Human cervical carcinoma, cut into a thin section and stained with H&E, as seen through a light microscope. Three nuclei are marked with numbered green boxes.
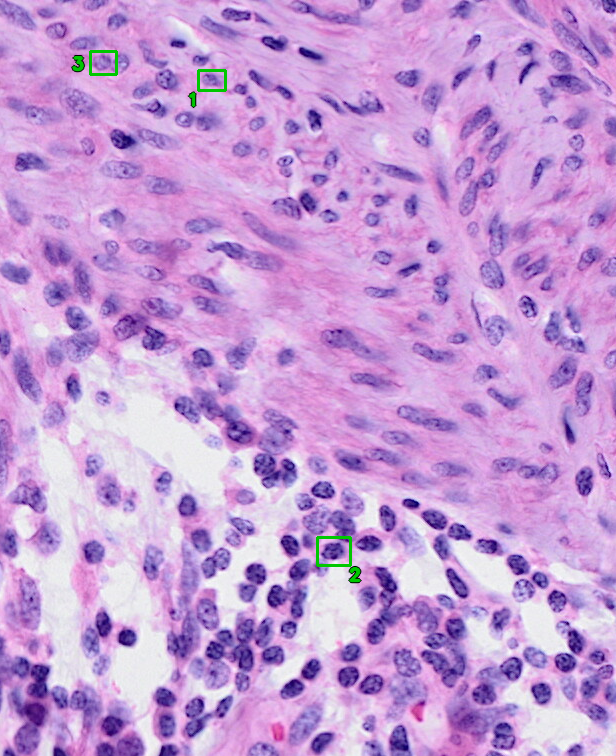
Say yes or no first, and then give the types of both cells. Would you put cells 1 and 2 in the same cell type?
No, cell 1 is a smooth muscle cell, and cell 2, in contrast, is a lymphocyte.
